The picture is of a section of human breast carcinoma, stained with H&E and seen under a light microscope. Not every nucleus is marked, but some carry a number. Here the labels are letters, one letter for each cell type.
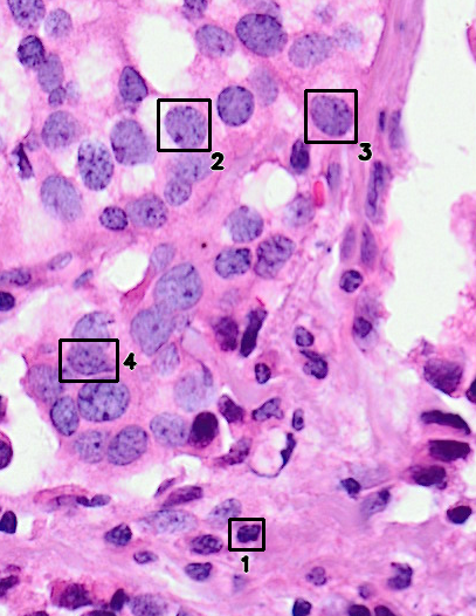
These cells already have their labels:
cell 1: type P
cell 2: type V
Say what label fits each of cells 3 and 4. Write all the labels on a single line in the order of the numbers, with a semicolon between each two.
type V; type V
